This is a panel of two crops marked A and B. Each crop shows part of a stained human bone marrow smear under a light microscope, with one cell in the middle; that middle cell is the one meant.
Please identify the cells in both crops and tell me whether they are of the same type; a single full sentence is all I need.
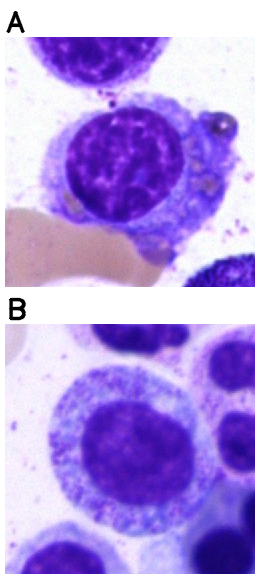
No, crop A should be called a plasma cell, and crop B should be called a promyelocyte.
